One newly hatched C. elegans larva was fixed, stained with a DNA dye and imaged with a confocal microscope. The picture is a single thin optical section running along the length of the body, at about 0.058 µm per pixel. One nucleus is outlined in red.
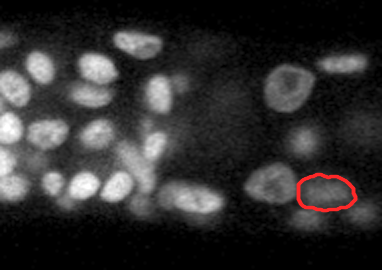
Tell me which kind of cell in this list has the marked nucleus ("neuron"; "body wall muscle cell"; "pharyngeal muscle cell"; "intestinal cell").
body wall muscle cell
